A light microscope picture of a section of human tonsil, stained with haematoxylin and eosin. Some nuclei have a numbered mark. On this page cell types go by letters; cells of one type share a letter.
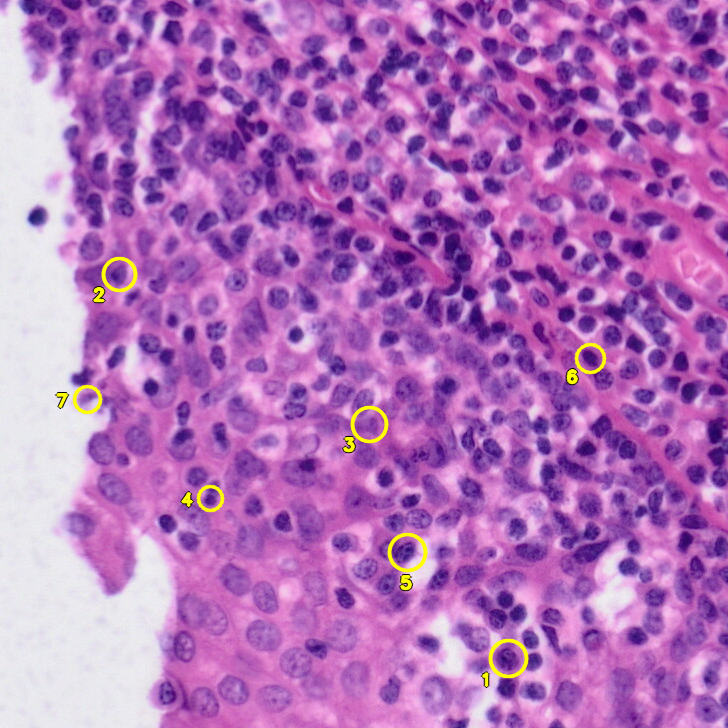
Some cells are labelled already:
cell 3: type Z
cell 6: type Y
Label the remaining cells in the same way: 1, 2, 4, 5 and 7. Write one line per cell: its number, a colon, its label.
1: type Y
2: type Z
4: type Z
5: type Y
7: type Z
